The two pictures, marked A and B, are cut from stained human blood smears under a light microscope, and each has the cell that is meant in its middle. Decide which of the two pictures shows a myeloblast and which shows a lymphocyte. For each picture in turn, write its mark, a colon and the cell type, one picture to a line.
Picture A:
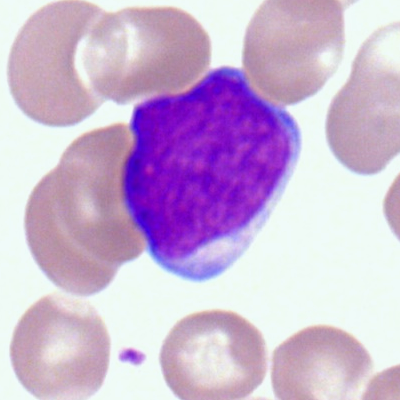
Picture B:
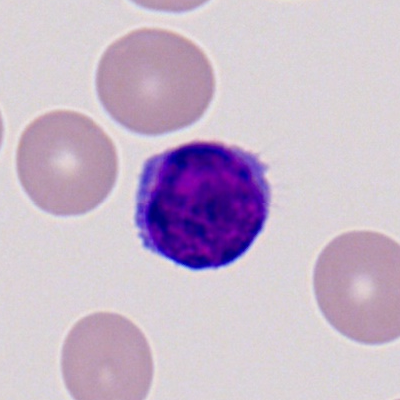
A: myeloblast
B: lymphocyte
